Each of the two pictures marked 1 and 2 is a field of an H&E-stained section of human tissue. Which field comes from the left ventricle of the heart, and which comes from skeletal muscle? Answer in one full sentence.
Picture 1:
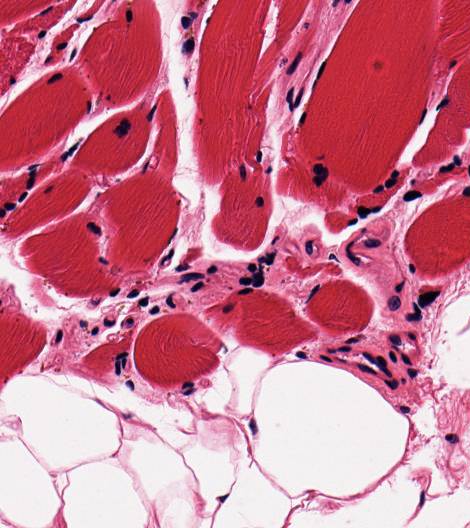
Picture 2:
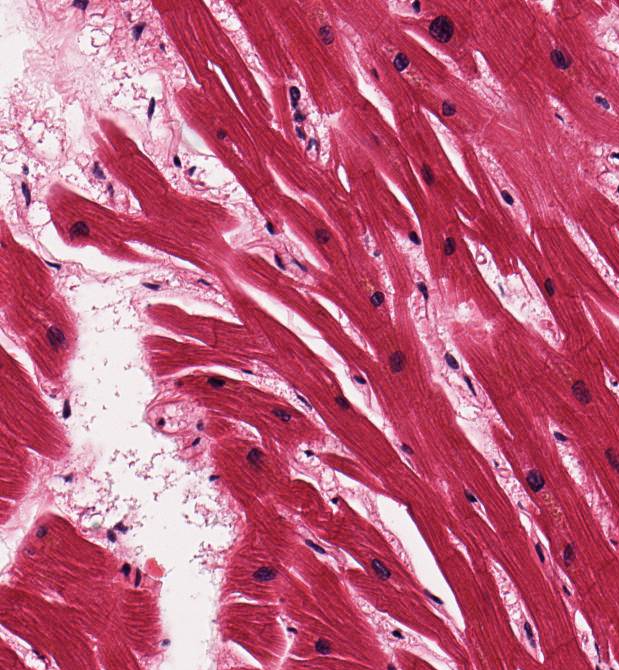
Picture 1 comes from skeletal muscle; picture 2 comes from the left ventricle of the heart.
